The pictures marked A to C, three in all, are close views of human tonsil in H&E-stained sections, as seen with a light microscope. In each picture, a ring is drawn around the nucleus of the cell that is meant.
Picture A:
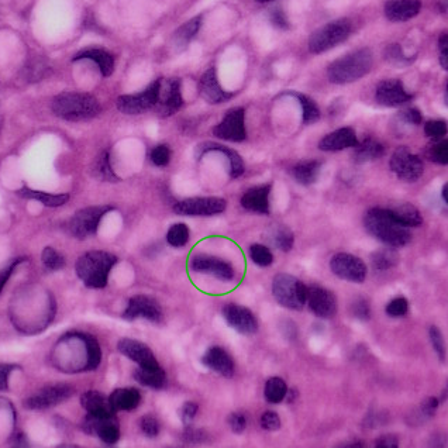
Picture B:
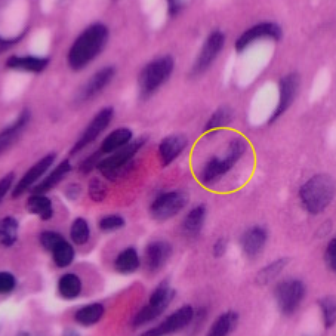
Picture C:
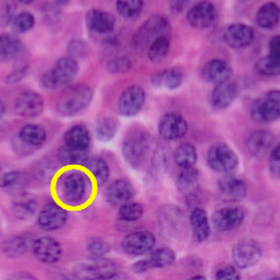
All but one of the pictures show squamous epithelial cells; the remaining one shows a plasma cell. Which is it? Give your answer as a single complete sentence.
Picture C is the one that shows the plasma cell.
